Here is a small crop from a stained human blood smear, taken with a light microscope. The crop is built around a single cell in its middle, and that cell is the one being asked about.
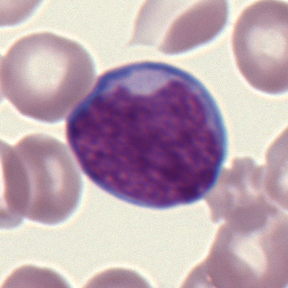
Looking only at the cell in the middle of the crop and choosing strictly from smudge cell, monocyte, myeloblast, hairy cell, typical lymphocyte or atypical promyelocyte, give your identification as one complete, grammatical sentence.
Present in the middle of the crop is a myeloblast.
